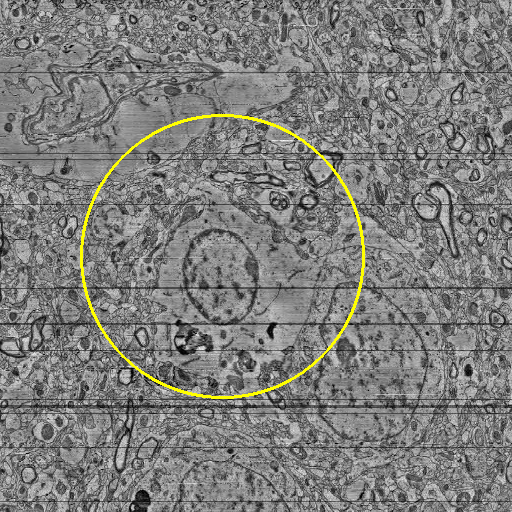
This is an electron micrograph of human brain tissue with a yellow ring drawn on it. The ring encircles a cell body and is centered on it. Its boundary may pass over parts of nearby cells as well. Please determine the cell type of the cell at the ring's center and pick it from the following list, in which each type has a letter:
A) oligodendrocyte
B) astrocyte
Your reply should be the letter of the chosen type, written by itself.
B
